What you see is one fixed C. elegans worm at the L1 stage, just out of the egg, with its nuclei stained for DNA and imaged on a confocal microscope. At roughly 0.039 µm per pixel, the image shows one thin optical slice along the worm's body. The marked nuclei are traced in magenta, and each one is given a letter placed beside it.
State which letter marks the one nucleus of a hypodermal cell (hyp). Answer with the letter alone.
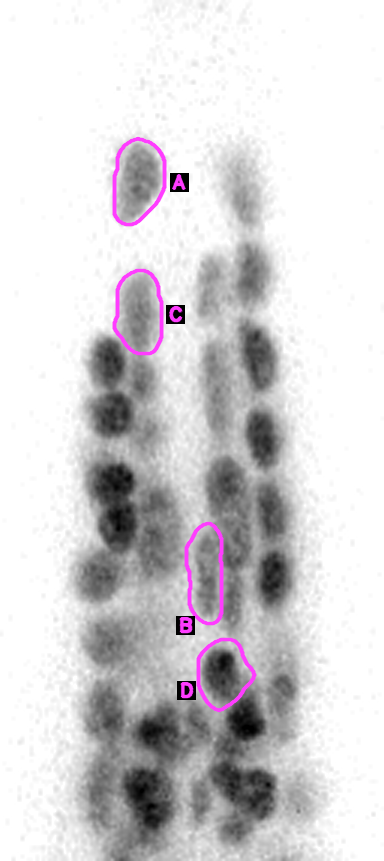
A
